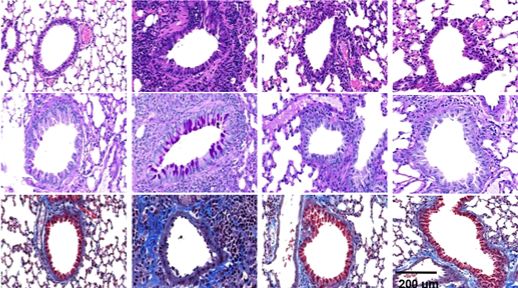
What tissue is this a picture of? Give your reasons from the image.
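The airways are surrounded by thin-walled alveolar spaces. Blood vessels lie next to the airways. The answer: Lung.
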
